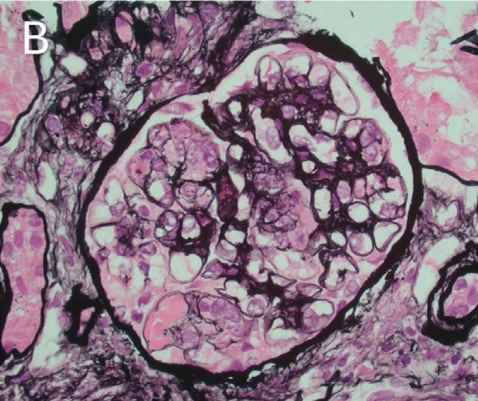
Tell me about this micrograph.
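A glomerulus is shown with a thick, black-stained capsule and black-stained capillary basement membranes and mesangial areas. In the lower left of the tuft a rounded, smooth pink deposit fills a capillary loop and is outlined by black basement membrane. Surrounding tubules and interstitium also show black-stained basement membranes.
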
